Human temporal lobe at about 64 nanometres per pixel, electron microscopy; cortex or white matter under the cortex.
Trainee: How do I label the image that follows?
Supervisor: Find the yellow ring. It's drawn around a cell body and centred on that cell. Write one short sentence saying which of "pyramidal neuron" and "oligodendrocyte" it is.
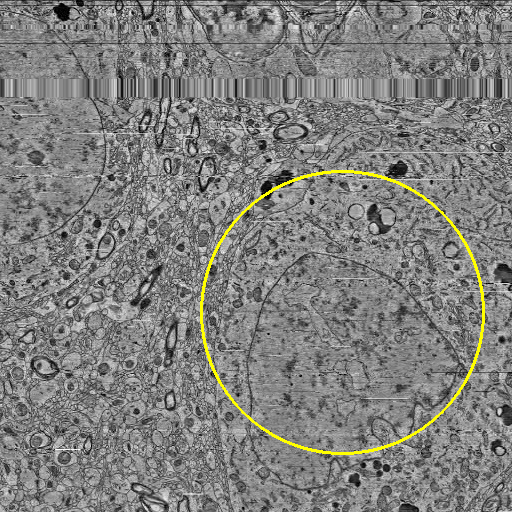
This is the cell body of a pyramidal neuron.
